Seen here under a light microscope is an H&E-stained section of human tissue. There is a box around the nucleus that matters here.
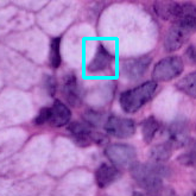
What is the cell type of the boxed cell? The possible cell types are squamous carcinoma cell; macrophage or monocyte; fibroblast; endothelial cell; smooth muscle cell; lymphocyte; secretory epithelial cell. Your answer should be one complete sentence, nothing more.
Typologically, the boxed cell is a secretory epithelial cell in this section.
